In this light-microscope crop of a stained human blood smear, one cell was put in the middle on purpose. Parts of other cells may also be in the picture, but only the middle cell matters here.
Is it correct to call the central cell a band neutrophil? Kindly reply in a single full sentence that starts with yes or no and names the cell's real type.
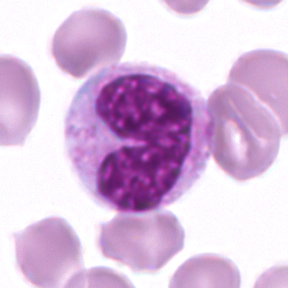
Yes, this central cell is a band neutrophil.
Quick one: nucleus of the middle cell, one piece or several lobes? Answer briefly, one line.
Just one compact nuclear mass here, round, oval or kidney-shaped.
